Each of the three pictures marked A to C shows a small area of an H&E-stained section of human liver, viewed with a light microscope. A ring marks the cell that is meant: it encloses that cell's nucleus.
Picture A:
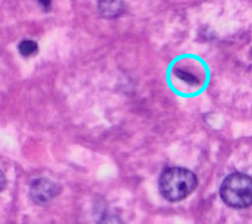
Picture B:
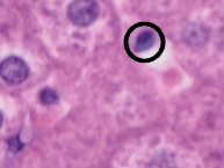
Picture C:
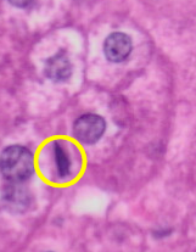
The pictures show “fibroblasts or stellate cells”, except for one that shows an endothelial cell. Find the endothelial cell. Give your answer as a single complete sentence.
The endothelial cell is the one in picture A.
